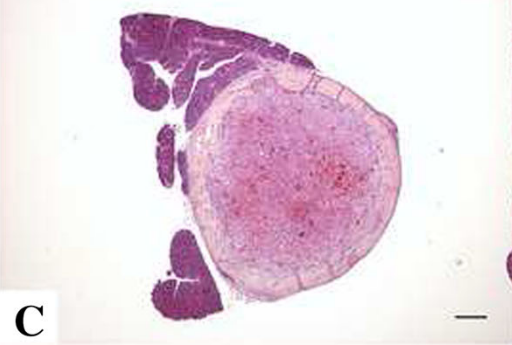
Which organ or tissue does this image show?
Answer: Pancreas.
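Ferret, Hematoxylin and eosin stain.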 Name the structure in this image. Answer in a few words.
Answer: thick fibrous capsule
